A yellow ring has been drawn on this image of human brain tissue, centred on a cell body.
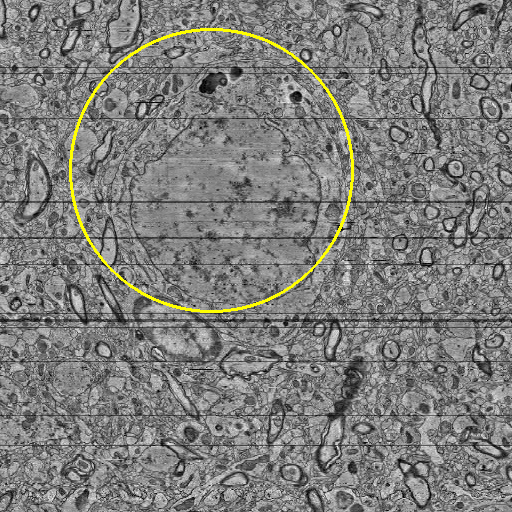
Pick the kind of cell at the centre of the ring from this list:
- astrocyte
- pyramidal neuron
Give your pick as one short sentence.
The centre of the ring holds a pyramidal neuron.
